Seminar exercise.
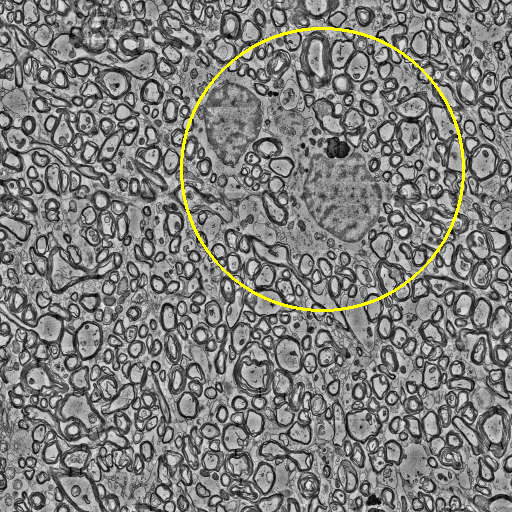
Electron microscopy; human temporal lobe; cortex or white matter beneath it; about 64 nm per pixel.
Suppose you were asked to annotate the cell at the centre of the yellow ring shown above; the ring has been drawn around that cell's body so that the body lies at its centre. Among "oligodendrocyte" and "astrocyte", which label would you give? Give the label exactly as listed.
oligodendrocyte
